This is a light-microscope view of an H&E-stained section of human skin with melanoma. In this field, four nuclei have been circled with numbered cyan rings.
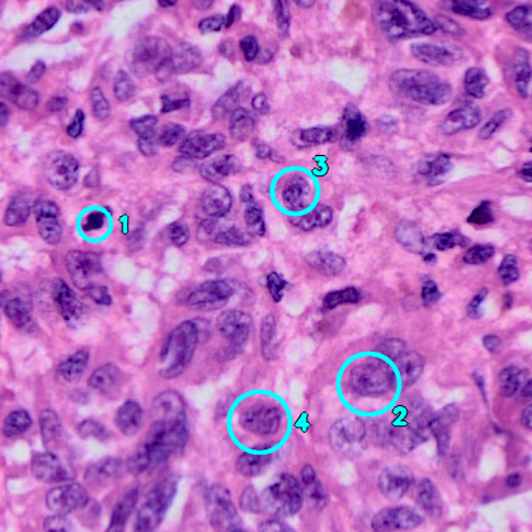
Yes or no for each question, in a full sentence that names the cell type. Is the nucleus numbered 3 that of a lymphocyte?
No, number 3 is not a lymphocyte but a melanoma cell.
